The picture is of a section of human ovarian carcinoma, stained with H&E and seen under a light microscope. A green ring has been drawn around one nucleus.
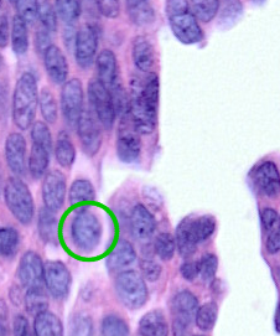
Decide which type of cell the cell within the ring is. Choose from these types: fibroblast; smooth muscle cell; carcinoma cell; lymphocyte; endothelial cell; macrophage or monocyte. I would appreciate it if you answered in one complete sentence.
The expected answer is simply that the cell within the ring is a carcinoma cell.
